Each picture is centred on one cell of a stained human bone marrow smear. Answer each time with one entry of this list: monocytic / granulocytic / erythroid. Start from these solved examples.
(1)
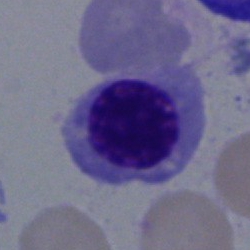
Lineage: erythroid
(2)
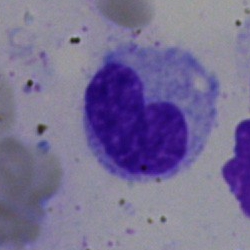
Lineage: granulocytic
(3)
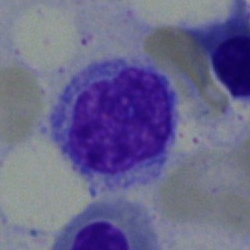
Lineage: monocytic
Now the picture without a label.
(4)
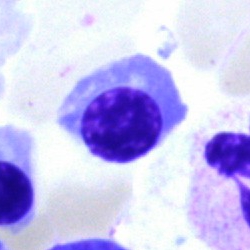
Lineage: erythroid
